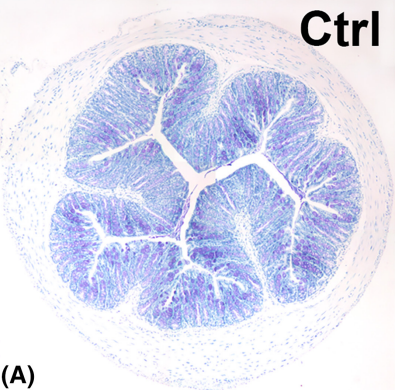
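The crypts are densely packed and run radially, and their lining contains many purple-violet stained mucus-containing cells. The lumen appears mostly clear, with only faint traces of stained material. A pale outer wall of muscle and connective tissue encircles the mucosa.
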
